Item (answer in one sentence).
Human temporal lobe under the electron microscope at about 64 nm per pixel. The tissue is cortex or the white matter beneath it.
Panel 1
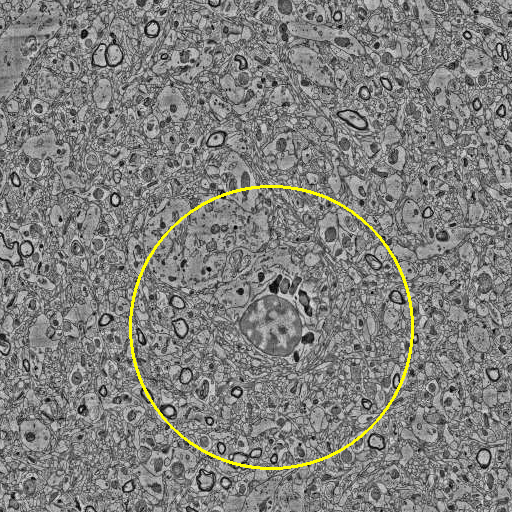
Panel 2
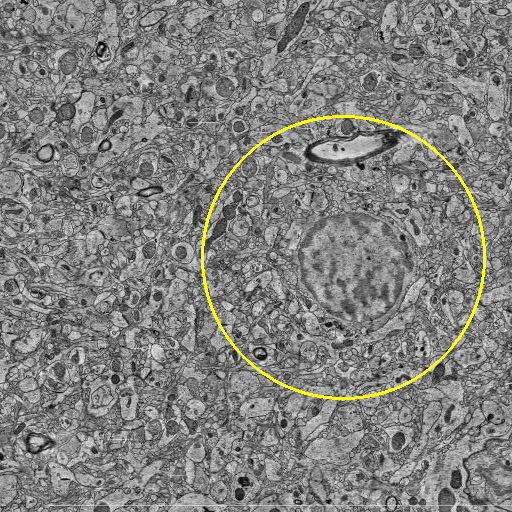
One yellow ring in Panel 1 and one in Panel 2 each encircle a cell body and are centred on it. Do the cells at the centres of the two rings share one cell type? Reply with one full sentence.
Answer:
No, Panel 1 and Panel 2 show cells of two types at the centres of their rings.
